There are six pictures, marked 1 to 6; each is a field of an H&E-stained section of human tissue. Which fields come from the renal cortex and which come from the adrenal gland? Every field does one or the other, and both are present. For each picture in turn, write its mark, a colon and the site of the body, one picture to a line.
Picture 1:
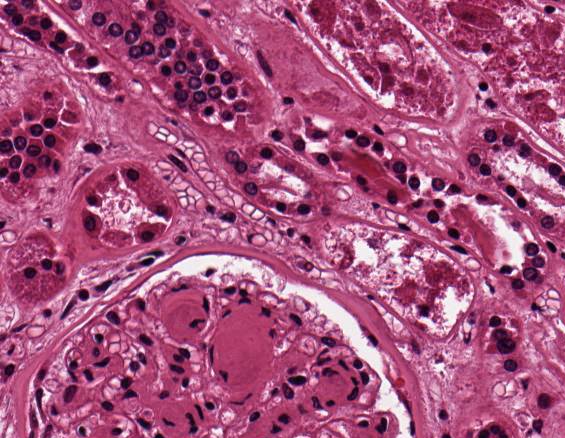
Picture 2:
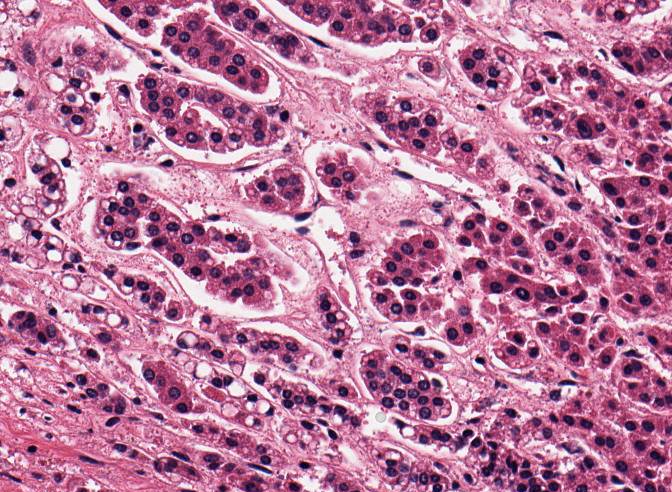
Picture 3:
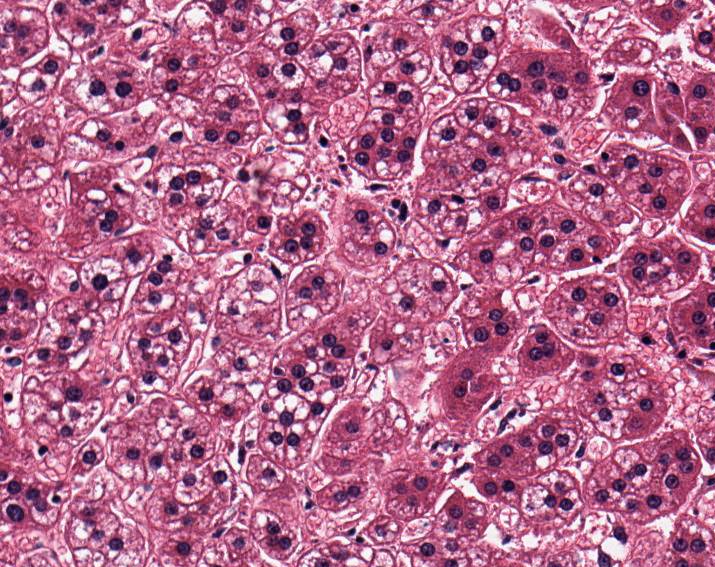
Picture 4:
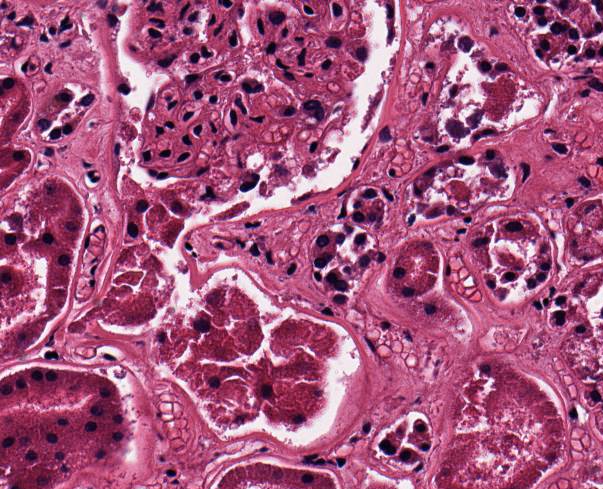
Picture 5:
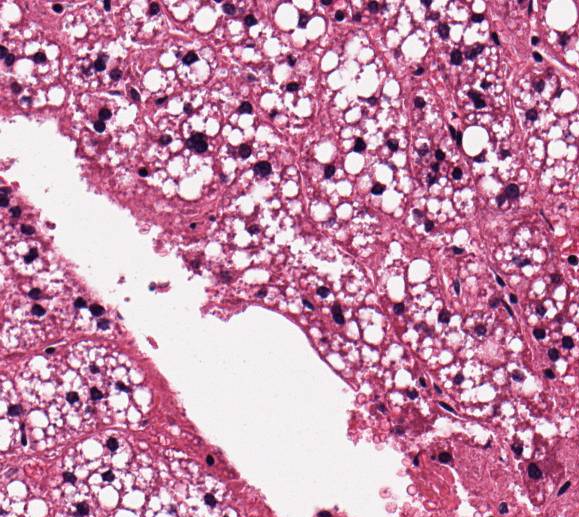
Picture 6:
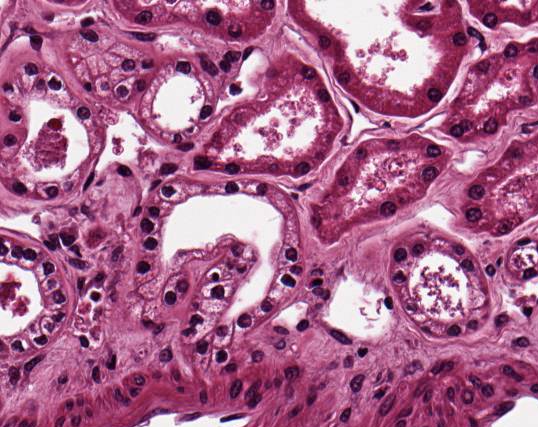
1: renal cortex
2: adrenal gland
3: adrenal gland
4: renal cortex
5: adrenal gland
6: renal cortex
